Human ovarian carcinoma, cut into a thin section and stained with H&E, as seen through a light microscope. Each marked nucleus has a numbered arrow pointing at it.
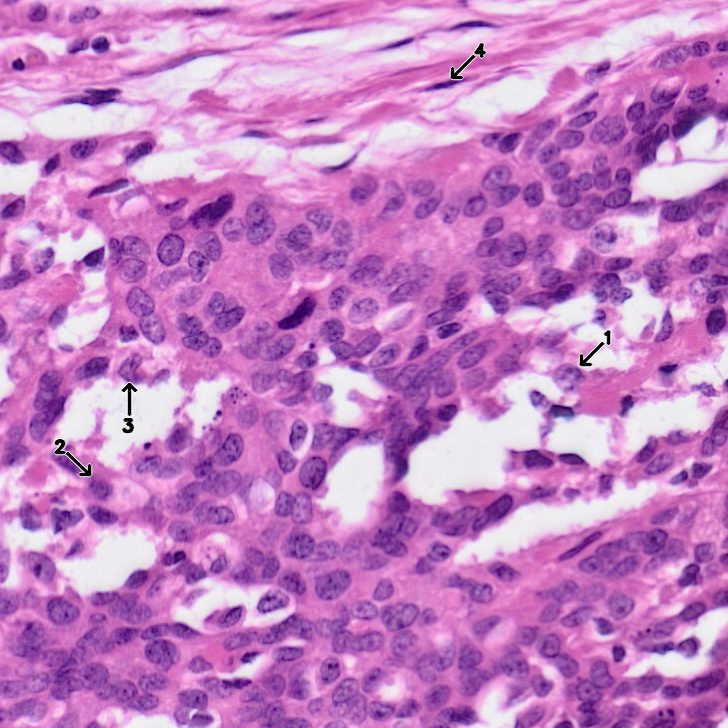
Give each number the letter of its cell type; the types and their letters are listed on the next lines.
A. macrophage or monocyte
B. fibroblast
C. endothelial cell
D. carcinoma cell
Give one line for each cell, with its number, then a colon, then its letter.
1: A
2: A
3: A
4: B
